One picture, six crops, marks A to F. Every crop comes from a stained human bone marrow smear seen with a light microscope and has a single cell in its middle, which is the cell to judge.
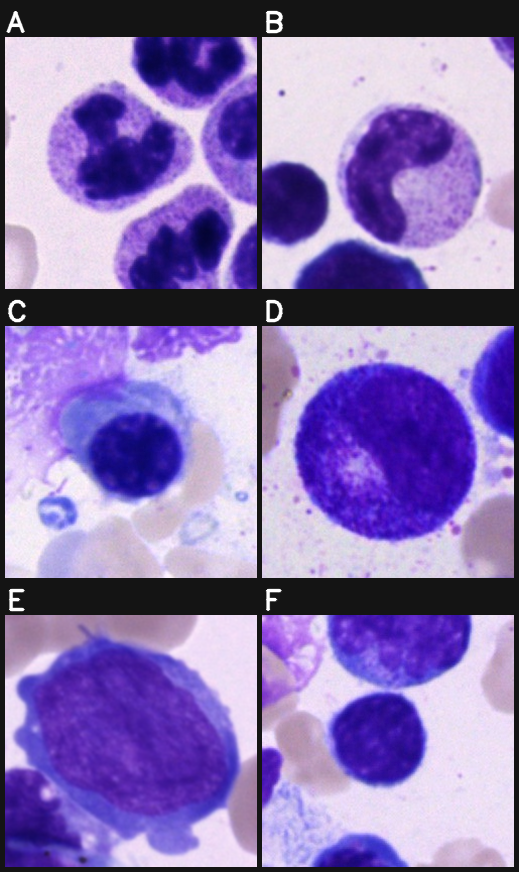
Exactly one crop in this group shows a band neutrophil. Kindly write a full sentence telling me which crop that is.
Crop B matches the request, showing a band neutrophil.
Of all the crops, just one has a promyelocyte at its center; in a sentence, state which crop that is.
The cell at the center of crop D is the one that is a promyelocyte.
